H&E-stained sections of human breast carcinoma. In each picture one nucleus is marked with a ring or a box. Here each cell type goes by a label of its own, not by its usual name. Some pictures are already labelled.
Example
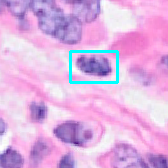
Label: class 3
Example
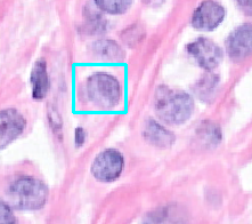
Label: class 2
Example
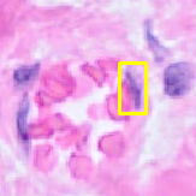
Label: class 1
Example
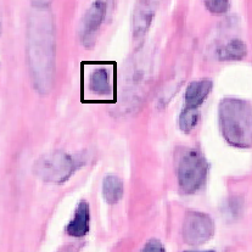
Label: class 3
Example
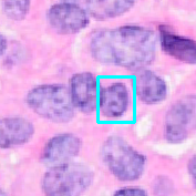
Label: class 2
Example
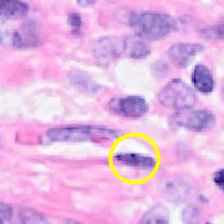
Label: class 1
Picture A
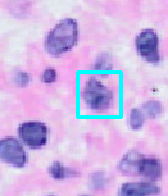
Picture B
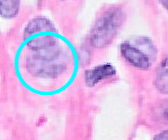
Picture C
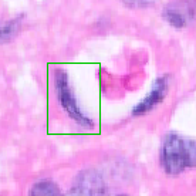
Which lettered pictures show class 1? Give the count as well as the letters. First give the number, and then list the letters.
1: C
